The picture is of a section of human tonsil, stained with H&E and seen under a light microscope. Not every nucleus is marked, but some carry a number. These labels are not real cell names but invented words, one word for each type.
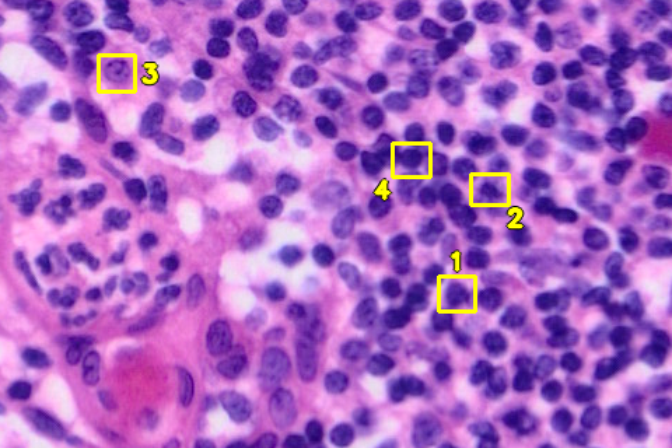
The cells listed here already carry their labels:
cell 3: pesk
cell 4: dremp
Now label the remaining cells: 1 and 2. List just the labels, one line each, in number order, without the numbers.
dremp
dremp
